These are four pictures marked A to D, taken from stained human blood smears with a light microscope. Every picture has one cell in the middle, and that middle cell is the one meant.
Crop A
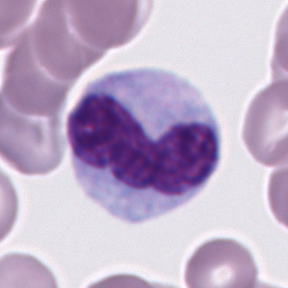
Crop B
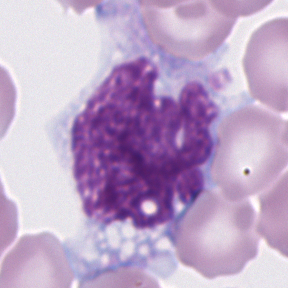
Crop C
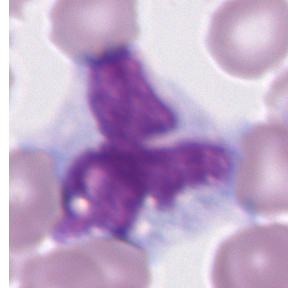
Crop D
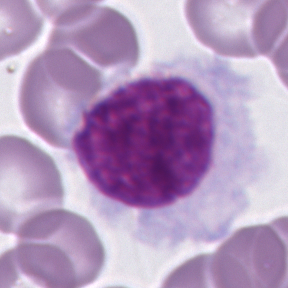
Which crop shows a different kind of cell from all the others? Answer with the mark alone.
D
